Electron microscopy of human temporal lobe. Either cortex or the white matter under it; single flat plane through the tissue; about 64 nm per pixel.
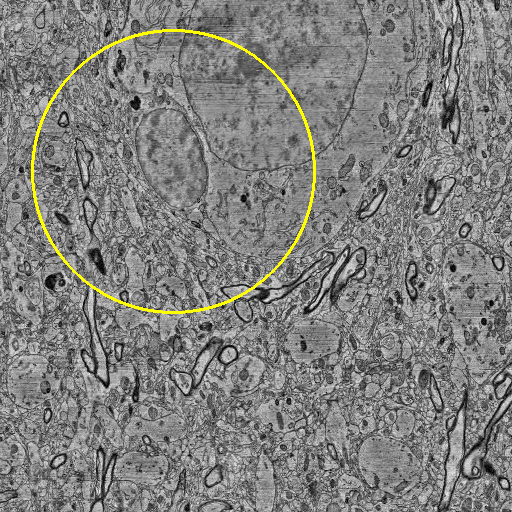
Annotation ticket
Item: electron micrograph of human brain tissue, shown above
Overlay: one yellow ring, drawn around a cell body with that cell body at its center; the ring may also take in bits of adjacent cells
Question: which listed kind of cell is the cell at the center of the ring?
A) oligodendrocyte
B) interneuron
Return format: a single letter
A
